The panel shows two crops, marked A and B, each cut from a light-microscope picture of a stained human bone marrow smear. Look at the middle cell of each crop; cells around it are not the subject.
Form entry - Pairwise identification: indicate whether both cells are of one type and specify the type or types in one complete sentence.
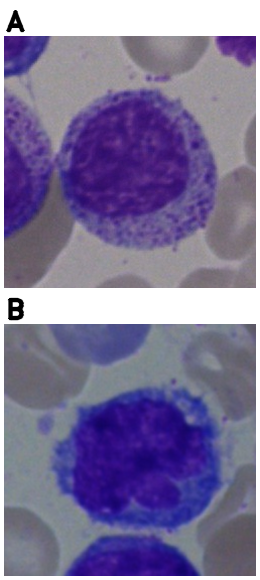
No, a myelocyte is the subject of crop A, and a monocyte is the subject of crop B.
